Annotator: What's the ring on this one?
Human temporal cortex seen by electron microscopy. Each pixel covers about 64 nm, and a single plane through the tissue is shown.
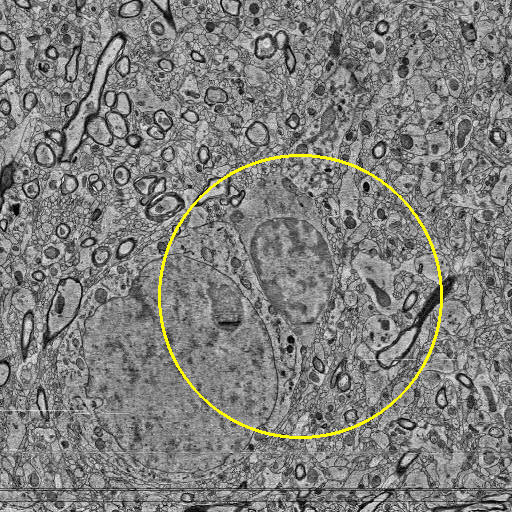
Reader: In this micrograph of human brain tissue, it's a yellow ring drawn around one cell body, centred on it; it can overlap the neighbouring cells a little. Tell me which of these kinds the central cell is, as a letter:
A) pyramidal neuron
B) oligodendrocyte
B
